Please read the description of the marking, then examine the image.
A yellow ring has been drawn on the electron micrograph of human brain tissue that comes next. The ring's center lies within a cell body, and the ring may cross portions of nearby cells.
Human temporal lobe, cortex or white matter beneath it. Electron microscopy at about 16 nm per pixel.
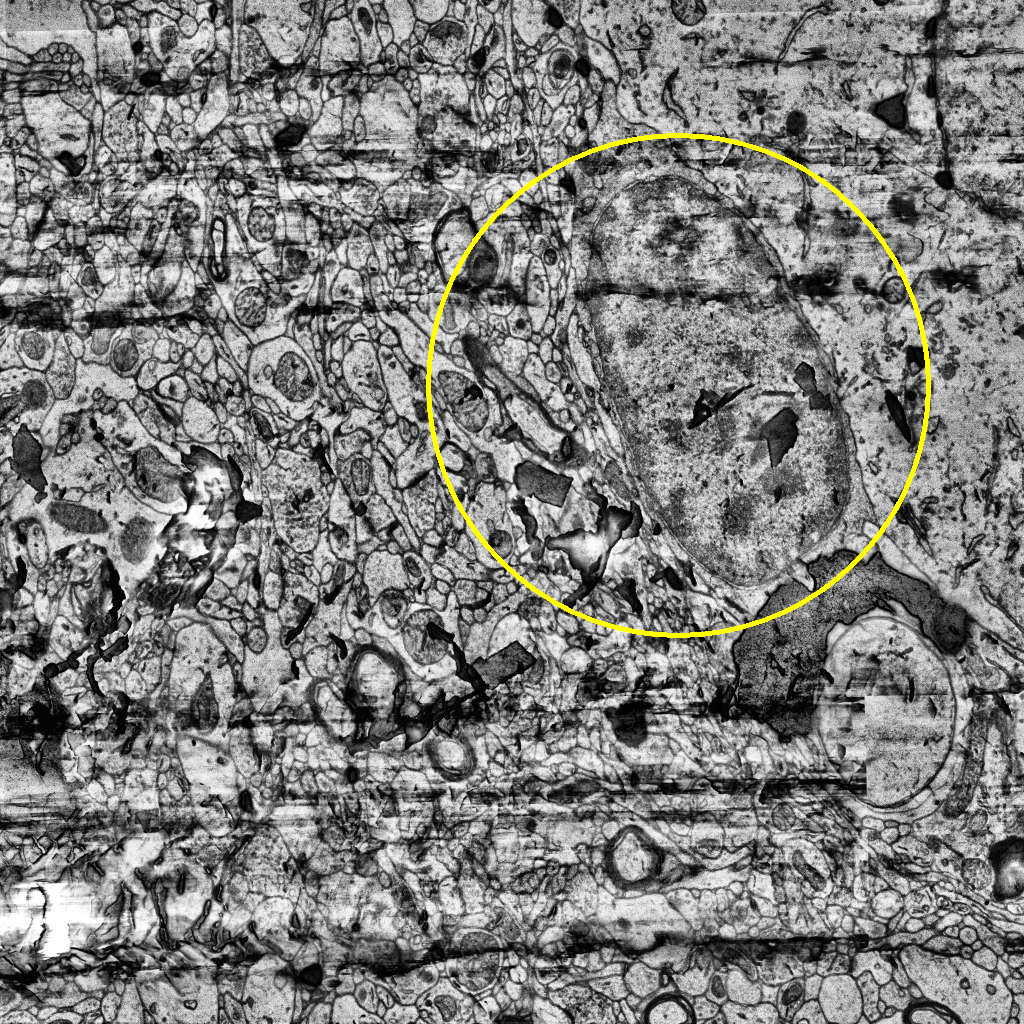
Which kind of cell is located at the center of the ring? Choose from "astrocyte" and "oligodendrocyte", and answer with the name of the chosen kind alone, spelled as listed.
oligodendrocyte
